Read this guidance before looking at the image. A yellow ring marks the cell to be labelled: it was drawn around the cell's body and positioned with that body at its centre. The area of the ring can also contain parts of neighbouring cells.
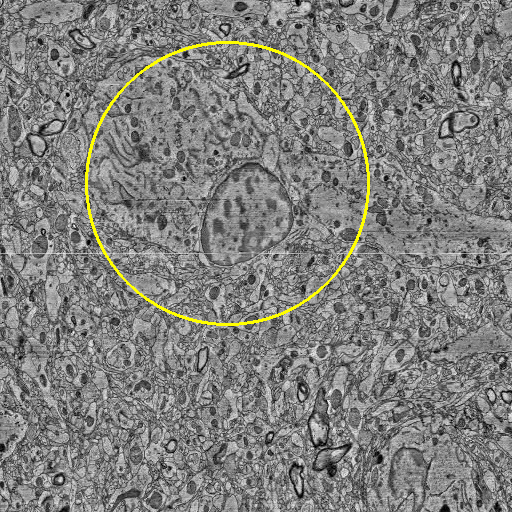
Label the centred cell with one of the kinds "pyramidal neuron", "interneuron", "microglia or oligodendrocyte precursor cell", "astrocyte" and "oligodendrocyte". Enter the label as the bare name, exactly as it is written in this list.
microglia or oligodendrocyte precursor cell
